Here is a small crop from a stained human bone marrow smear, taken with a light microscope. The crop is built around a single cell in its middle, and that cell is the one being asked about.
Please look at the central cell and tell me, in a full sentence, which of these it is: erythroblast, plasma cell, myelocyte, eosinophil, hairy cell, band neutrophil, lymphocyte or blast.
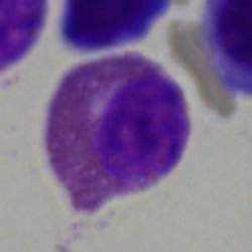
On this slide crop, the central cell is an eosinophil.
